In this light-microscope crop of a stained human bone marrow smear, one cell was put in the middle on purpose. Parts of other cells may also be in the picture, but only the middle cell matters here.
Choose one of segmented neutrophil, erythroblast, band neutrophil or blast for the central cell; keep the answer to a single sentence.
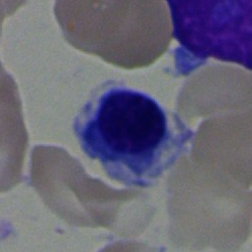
In the centre of this crop there is an erythroblast.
